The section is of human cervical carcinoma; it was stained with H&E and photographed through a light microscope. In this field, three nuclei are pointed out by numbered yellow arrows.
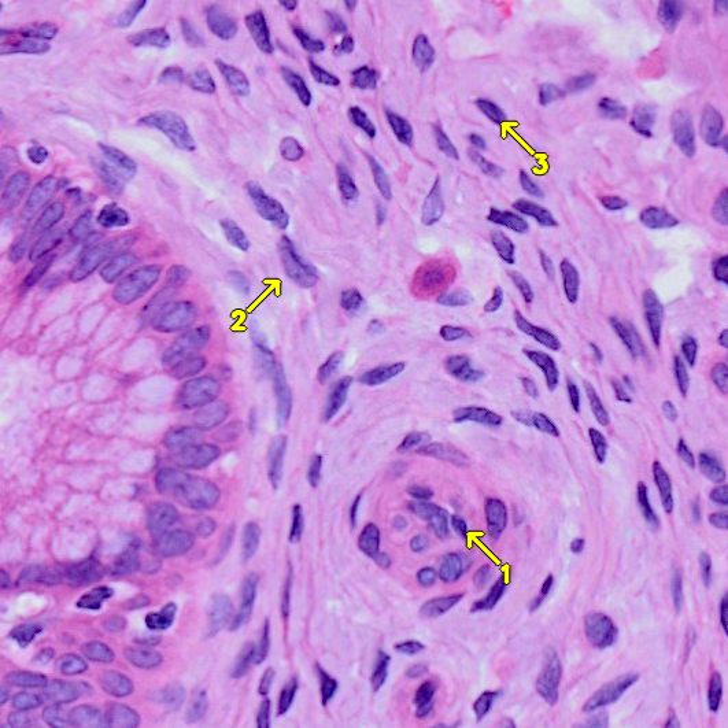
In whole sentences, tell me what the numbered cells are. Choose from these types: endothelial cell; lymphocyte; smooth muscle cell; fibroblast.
Cell 1 is an endothelial cell, cell 2 is a fibroblast and cell 3 is a fibroblast.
